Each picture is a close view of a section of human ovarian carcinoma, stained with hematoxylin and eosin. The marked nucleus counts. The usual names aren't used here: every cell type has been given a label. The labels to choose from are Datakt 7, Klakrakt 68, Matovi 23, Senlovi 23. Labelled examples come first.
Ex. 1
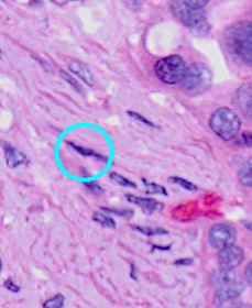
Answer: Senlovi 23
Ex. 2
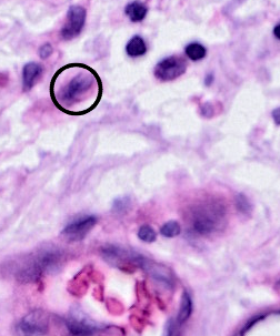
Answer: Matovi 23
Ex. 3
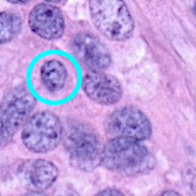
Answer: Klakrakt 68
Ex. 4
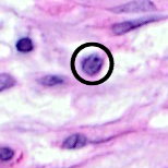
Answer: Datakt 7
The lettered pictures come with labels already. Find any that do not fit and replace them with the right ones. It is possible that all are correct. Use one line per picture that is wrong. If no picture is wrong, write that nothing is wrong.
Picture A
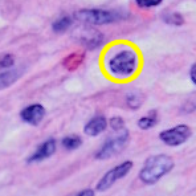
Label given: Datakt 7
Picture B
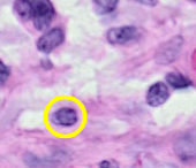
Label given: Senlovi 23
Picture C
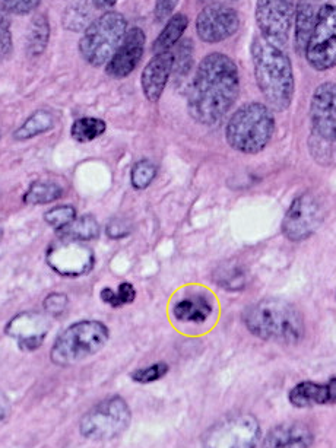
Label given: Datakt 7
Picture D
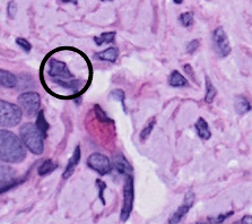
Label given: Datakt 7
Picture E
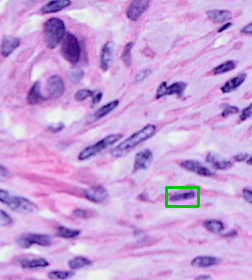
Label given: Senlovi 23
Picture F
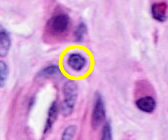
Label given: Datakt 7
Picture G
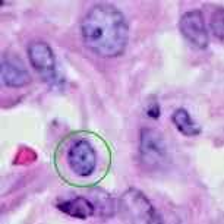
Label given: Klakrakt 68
B should be Datakt 7, not Senlovi 23
D should be Senlovi 23, not Datakt 7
